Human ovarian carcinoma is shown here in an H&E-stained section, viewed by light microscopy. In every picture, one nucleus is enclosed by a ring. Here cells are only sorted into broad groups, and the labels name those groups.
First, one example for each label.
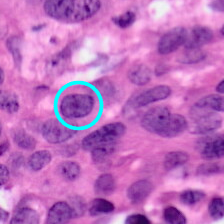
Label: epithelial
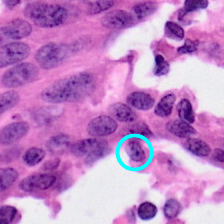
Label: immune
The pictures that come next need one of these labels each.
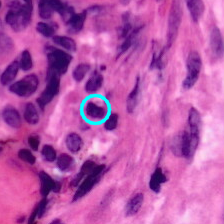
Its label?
immune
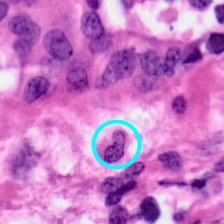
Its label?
immune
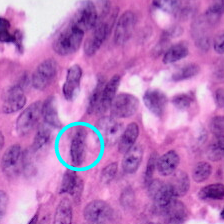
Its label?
epithelial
